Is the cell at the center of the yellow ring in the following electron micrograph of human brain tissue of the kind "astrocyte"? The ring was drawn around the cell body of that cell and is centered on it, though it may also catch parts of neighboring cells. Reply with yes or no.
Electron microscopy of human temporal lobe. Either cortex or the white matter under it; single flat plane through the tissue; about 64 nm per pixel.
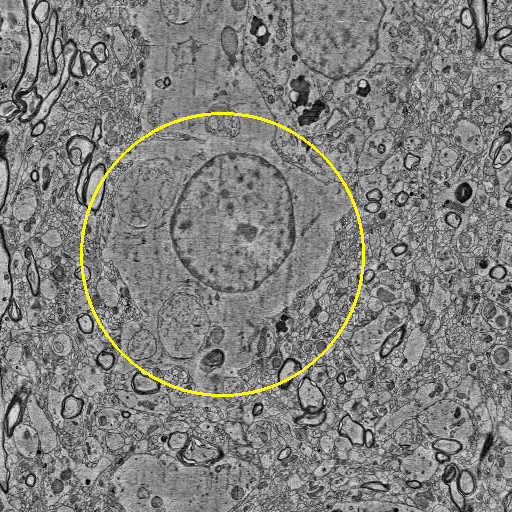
Yes, that is its kind.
